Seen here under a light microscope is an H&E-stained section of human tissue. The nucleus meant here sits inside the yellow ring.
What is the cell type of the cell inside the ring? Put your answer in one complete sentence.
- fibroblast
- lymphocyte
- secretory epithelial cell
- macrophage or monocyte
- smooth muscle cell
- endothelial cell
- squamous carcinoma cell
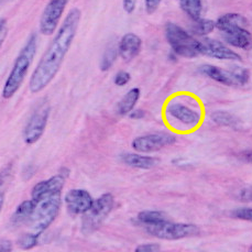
In the tissue under study, the cell inside the ring is a smooth muscle cell.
